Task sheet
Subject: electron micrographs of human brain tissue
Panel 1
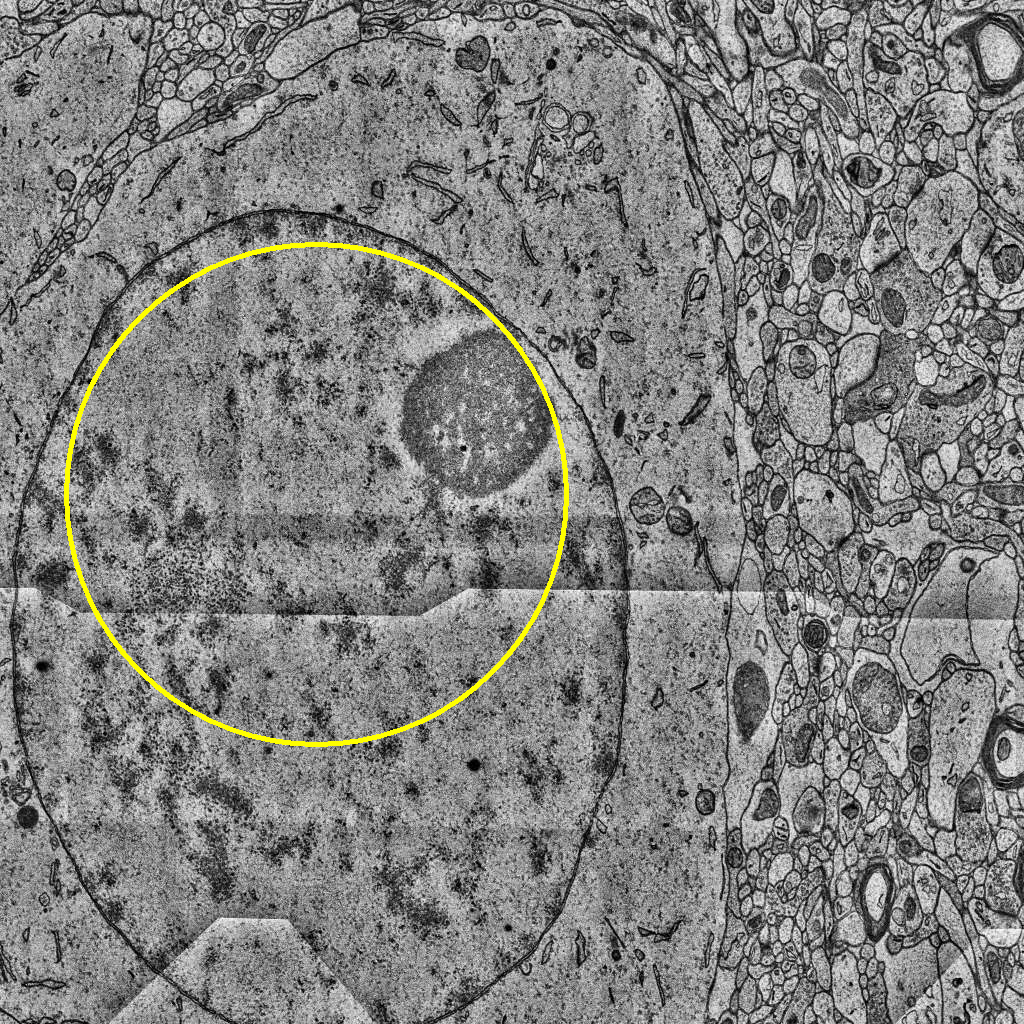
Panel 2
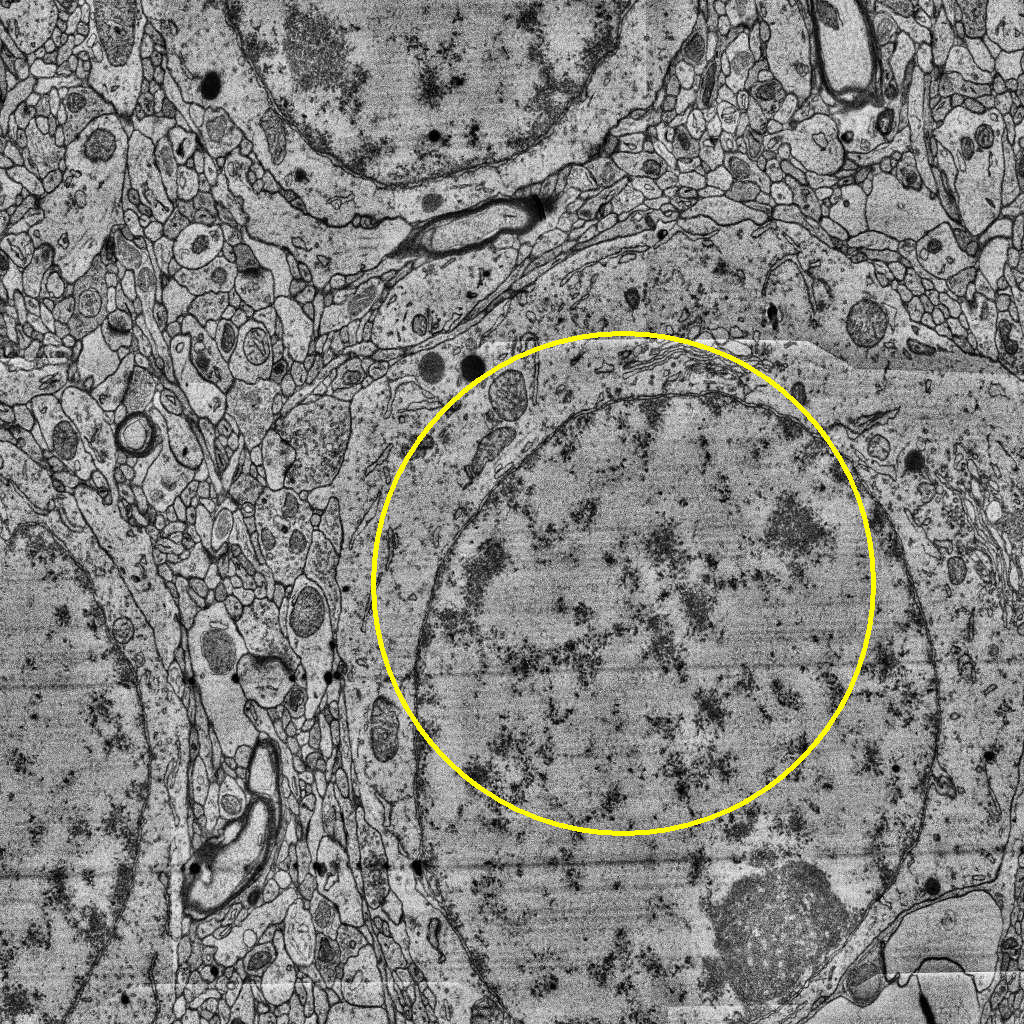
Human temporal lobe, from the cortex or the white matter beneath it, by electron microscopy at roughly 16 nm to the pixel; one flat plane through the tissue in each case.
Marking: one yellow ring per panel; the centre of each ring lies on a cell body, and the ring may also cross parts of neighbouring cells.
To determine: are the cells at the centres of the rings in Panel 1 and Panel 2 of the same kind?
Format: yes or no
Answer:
yes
